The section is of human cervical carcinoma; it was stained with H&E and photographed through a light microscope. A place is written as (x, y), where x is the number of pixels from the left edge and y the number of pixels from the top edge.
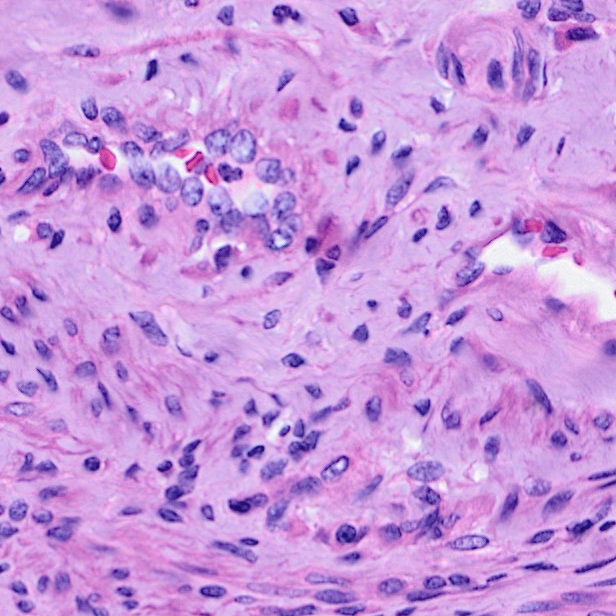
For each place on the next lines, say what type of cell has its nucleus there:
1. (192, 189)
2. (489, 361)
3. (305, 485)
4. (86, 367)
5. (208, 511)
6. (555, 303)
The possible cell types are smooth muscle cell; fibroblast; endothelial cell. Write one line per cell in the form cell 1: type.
cell 1: endothelial cell
cell 2: smooth muscle cell
cell 3: endothelial cell
cell 4: smooth muscle cell
cell 5: fibroblast
cell 6: endothelial cell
